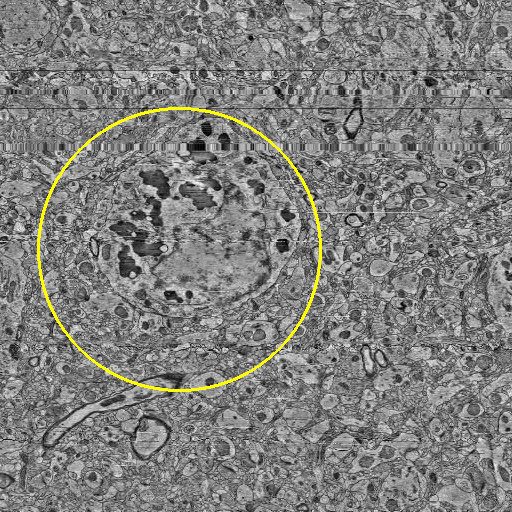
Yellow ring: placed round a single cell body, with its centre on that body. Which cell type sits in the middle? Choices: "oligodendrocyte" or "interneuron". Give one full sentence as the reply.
It is an interneuron whose cell body sits at the centre of the yellow ring.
